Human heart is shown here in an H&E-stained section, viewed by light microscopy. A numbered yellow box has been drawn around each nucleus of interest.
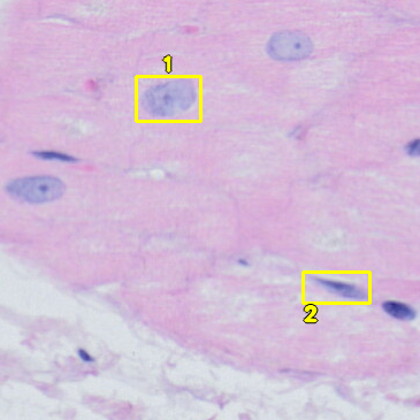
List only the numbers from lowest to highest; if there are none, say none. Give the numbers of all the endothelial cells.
2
